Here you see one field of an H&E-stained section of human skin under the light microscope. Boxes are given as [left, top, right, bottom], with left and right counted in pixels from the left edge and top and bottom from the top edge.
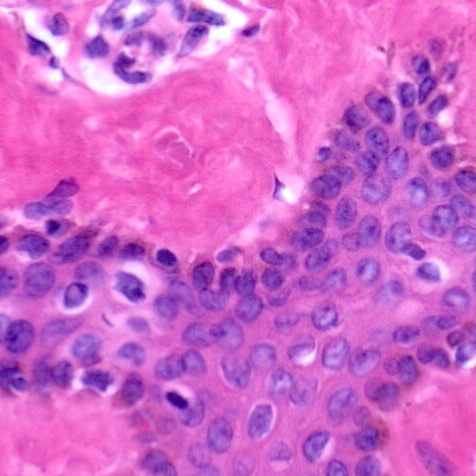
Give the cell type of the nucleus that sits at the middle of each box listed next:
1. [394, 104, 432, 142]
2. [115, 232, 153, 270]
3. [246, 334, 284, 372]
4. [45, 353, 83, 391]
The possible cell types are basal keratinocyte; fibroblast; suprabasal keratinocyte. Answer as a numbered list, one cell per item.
1. basal keratinocyte
2. basal keratinocyte
3. suprabasal keratinocyte
4. basal keratinocyte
